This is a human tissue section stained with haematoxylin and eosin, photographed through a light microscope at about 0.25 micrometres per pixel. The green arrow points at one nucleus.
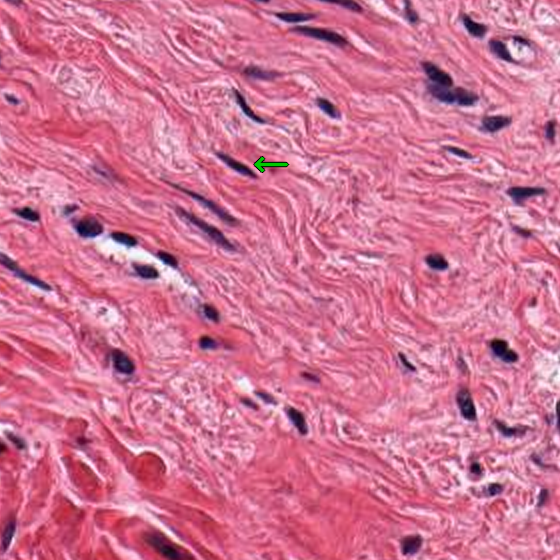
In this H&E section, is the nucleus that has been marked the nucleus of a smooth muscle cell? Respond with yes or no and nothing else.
no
